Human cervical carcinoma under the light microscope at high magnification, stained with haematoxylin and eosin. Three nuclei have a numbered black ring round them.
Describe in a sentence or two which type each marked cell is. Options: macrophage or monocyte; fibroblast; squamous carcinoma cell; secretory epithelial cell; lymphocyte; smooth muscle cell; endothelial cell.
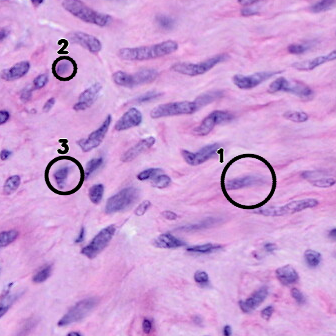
Cells 1 and 2 are smooth muscle cells. Cell 3 is a fibroblast.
